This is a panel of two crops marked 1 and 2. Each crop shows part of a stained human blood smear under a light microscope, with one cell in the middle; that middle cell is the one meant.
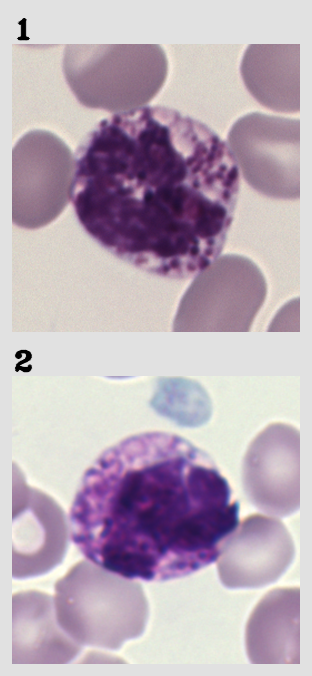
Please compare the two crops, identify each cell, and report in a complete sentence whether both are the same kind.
Yes, both crops show basophils, with no exception.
